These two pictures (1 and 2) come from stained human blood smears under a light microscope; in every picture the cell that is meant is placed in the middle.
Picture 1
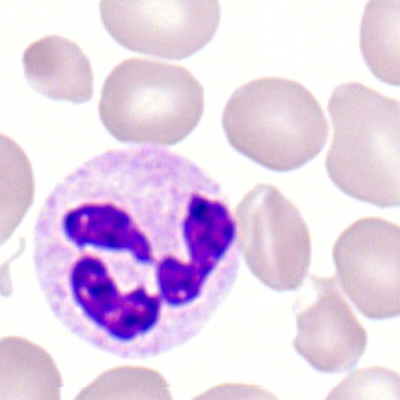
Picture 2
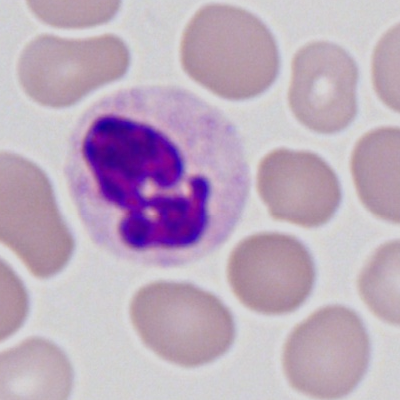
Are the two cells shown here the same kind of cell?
yes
